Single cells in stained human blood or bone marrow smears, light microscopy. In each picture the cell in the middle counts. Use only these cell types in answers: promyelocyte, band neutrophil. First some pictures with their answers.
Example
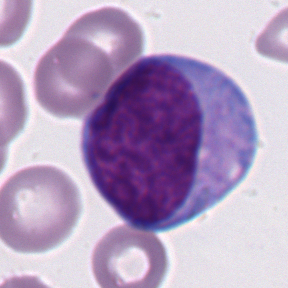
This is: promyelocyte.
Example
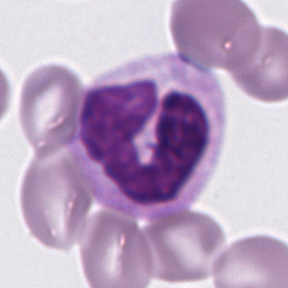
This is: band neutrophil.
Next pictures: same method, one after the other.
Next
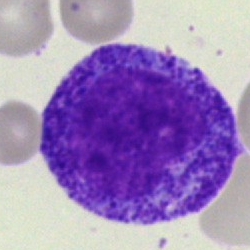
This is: promyelocyte.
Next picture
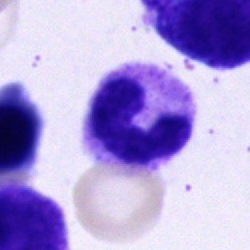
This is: band neutrophil.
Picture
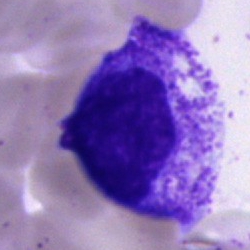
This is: promyelocyte.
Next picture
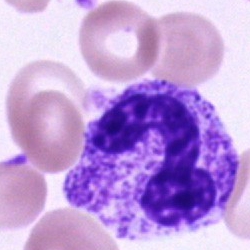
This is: band neutrophil.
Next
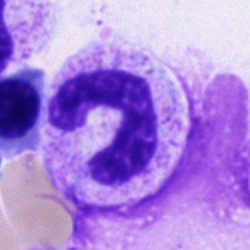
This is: band neutrophil.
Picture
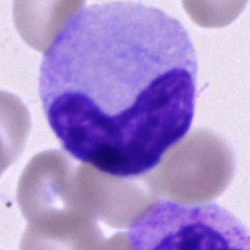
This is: band neutrophil.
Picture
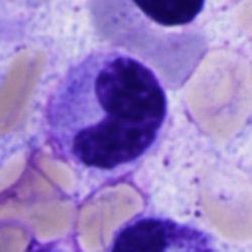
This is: band neutrophil.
